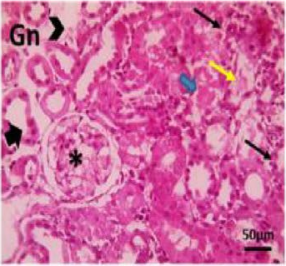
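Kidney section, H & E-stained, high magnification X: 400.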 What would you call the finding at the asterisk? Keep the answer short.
Degenerated glomerular tuft.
